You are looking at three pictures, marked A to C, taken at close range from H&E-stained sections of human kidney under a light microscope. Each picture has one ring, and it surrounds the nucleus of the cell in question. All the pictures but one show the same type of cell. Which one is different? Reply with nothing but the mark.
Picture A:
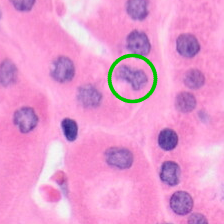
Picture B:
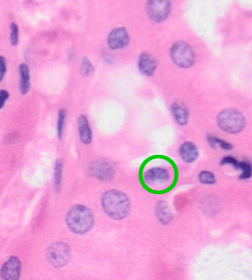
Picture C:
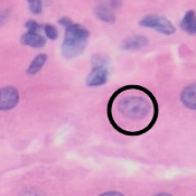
B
